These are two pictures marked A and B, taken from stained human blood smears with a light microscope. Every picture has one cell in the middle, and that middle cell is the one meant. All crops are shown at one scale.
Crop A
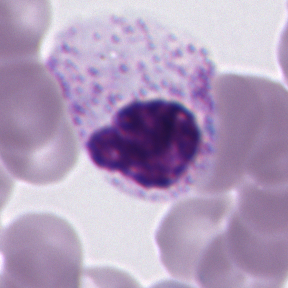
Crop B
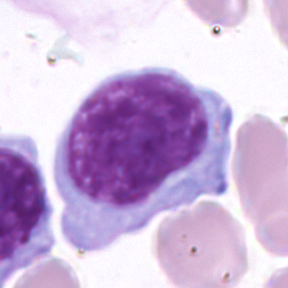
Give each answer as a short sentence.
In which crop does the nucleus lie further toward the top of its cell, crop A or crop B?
In crop B the nucleus is shifted more toward the top.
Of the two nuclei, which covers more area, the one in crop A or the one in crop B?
It is the nucleus in crop B, about 2 times as large in area as the one in crop A.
